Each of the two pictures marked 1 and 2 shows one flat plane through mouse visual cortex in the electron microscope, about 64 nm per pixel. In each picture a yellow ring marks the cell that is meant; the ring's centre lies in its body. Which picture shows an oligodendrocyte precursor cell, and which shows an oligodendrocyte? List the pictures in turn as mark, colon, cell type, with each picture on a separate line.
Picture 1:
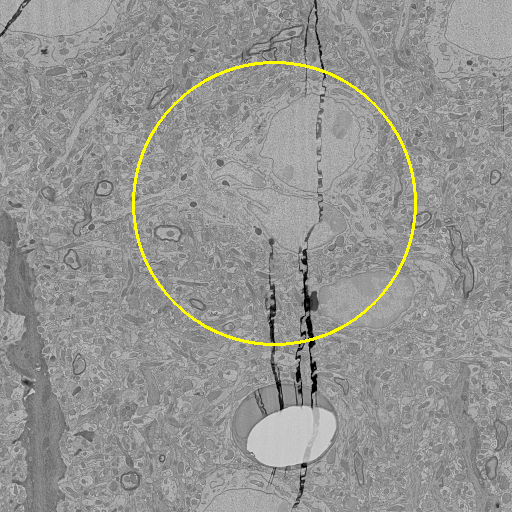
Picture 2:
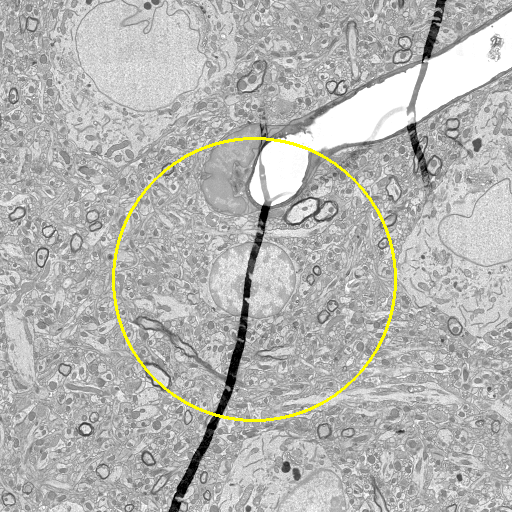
1: oligodendrocyte precursor cell
2: oligodendrocyte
